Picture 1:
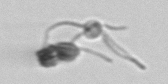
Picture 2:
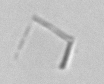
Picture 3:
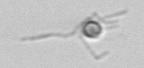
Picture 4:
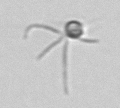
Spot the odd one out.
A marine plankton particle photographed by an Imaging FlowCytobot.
Picture 2 (Nanoneis among Ophiaster).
